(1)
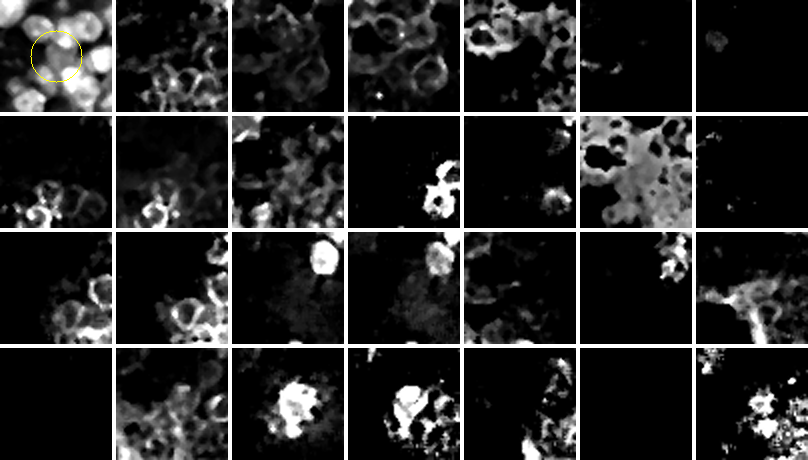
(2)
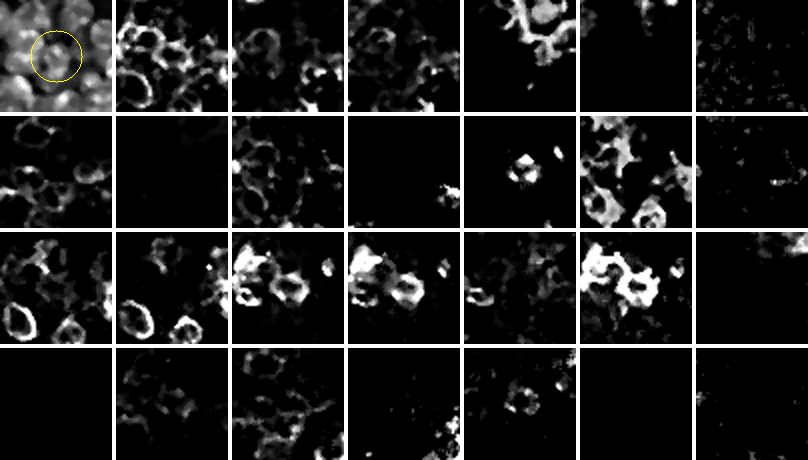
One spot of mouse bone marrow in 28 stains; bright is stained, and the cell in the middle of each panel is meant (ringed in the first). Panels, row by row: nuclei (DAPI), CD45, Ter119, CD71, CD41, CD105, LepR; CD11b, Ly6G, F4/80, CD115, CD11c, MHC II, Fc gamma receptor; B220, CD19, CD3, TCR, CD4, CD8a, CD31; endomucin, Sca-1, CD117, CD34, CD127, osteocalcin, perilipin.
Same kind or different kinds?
Different: the first is a KLS stem or progenitor cell, the second a CD8 T cell.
